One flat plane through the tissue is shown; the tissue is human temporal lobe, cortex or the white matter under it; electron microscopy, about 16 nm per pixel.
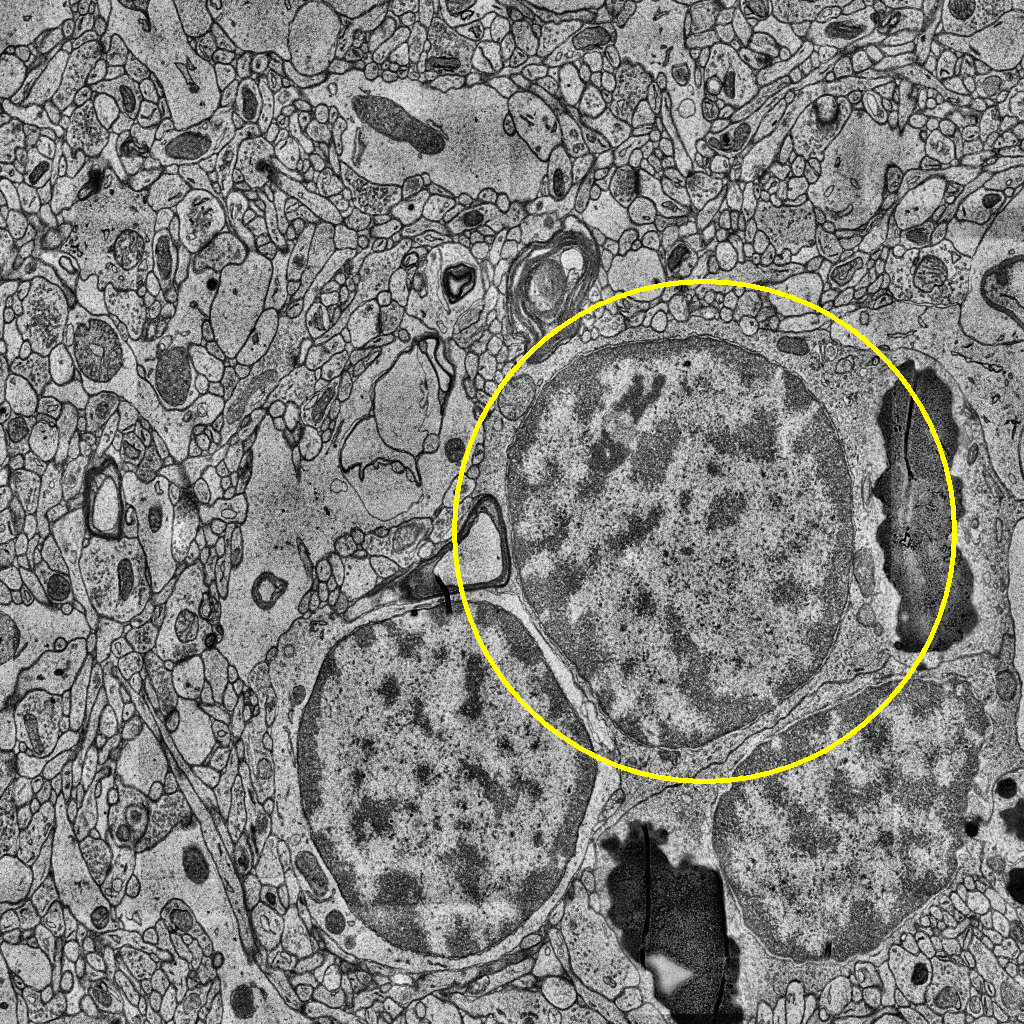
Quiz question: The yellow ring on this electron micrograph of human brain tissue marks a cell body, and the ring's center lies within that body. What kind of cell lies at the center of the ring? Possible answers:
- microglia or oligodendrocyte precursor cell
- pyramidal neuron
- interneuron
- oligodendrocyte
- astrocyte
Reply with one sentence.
The ring's center lies on an oligodendrocyte.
